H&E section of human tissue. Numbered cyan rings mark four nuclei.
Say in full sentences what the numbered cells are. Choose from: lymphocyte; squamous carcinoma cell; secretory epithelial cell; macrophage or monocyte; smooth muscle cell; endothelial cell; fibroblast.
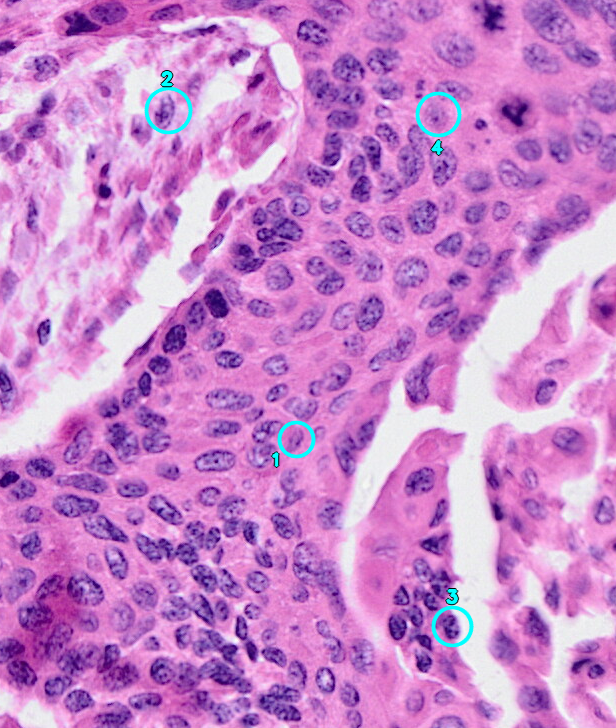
Cell 1 is a squamous carcinoma cell, cell 2 is a fibroblast, cell 3 is a squamous carcinoma cell and cell 4 is a squamous carcinoma cell.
